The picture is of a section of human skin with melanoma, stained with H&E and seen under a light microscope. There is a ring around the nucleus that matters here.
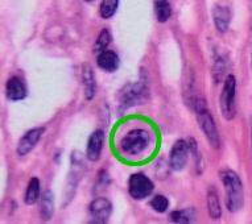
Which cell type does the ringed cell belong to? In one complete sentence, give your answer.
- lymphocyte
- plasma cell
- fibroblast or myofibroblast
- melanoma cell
In this field of tissue, the ringed cell is a plasma cell.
